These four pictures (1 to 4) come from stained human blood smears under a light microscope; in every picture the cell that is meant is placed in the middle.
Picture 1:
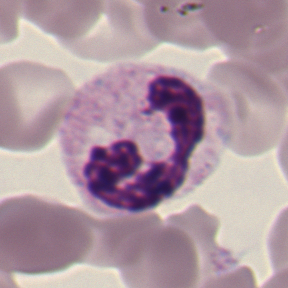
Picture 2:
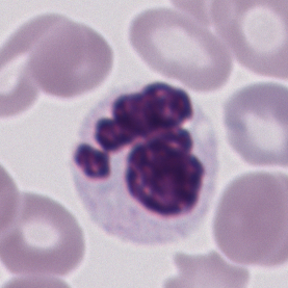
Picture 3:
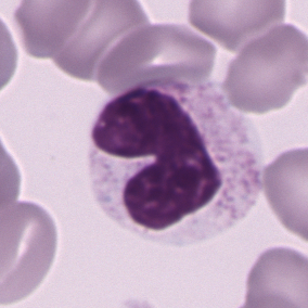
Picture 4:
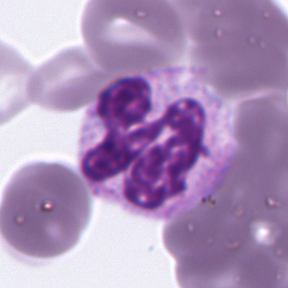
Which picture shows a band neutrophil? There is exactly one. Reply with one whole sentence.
The picture with the band neutrophil is 3.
